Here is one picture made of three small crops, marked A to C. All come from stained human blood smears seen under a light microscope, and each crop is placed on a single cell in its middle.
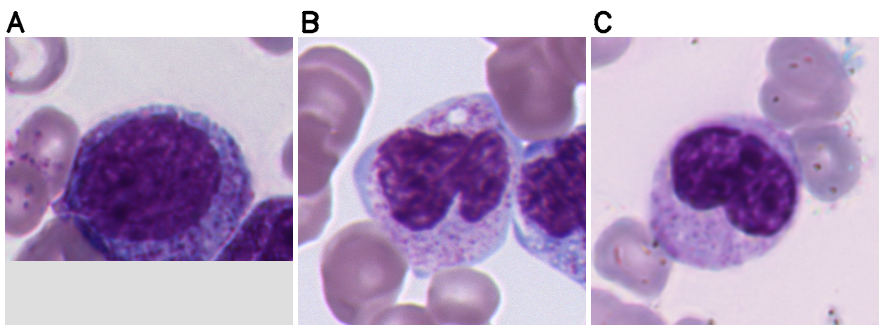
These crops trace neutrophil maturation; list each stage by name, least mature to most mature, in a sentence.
By increasing maturity, the order is crop A (a promyelocyte), crop C (a metamyelocyte) and crop B (a band neutrophil).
